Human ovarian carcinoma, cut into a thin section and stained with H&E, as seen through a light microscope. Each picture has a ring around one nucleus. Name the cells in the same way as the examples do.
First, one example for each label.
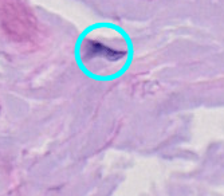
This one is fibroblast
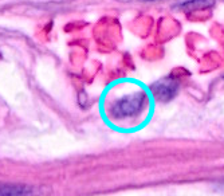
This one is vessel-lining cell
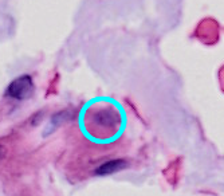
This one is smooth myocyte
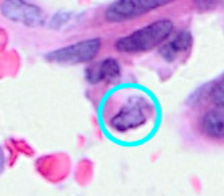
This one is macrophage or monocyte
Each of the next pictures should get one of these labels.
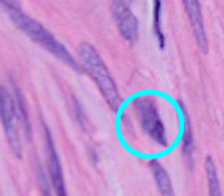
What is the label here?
smooth myocyte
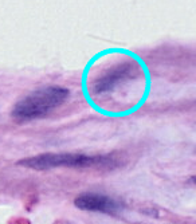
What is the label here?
vessel-lining cell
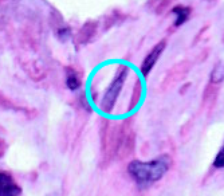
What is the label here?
fibroblast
